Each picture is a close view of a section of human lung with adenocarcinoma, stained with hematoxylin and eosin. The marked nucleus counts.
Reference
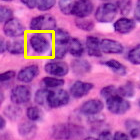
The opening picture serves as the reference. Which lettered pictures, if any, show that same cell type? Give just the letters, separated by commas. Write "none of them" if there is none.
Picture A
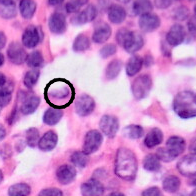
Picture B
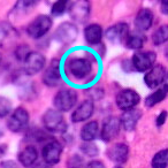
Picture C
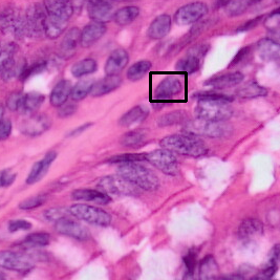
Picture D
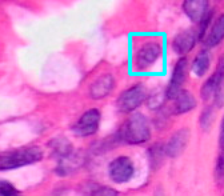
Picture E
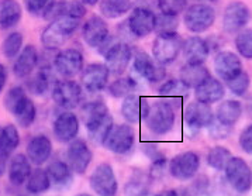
A, B, E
